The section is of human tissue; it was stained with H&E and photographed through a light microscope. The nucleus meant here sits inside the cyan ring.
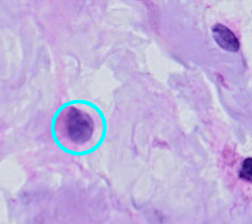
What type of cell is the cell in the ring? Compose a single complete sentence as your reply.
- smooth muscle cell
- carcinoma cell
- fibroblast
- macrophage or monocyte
In the tissue under study, the cell in the ring is a fibroblast.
